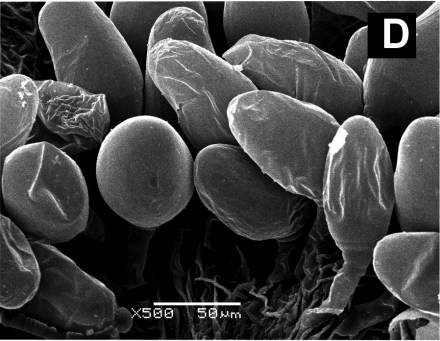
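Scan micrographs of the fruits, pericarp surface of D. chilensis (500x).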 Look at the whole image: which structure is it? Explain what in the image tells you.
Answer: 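Glandular trichomes. Many smooth, swollen club- to egg-shaped heads crowd the surface. Some heads sit on a narrow stalk. Several heads are collapsed and wrinkled.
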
